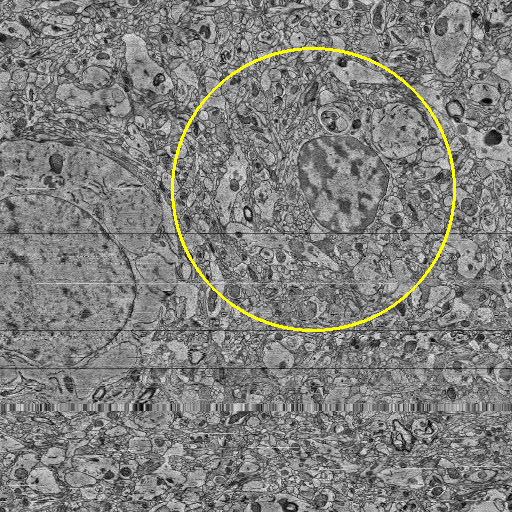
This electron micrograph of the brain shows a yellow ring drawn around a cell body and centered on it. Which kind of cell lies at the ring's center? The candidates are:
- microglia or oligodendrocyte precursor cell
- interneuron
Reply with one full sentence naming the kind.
The cell lying at the ring's center in this micrograph is a microglial cell or oligodendrocyte precursor cell.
